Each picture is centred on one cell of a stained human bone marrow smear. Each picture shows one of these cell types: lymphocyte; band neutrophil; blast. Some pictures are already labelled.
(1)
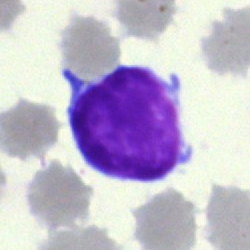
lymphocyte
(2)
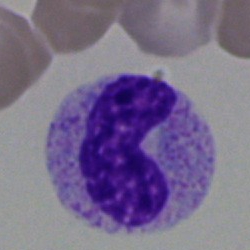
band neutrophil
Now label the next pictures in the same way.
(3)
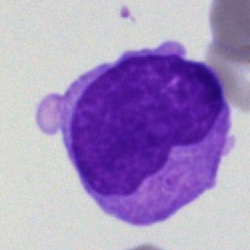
blast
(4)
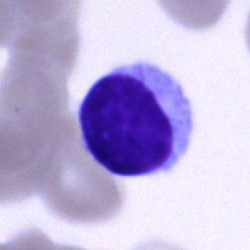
lymphocyte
